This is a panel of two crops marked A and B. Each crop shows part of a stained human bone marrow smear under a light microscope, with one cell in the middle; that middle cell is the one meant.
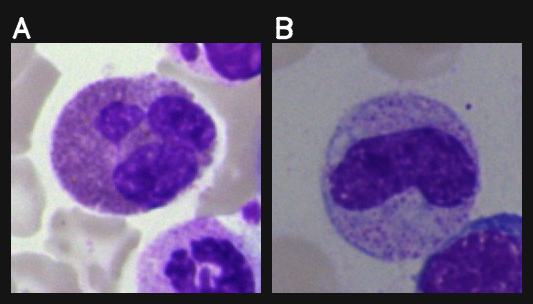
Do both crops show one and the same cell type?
no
